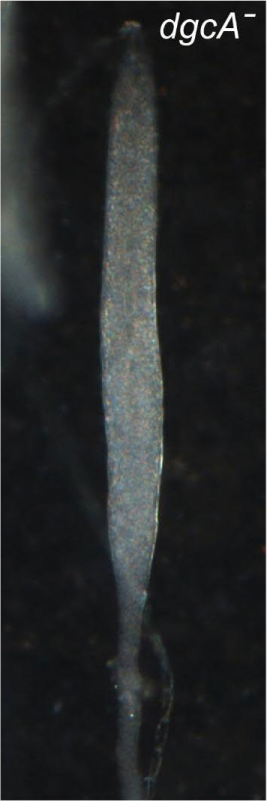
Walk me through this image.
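Dark-field view of a developing sorogen: a long, spindle-shaped mass of densely packed cells with granular texture, tapering at both ends. A thin stalk-like extension continues from its lower end.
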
